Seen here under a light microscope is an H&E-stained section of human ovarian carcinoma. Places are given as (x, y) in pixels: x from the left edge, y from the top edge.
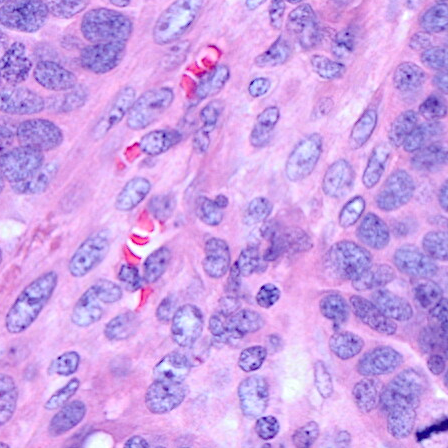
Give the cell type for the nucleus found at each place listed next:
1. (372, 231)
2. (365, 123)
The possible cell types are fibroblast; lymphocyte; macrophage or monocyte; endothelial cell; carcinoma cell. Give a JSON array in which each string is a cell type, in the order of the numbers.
["carcinoma cell", "fibroblast"]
